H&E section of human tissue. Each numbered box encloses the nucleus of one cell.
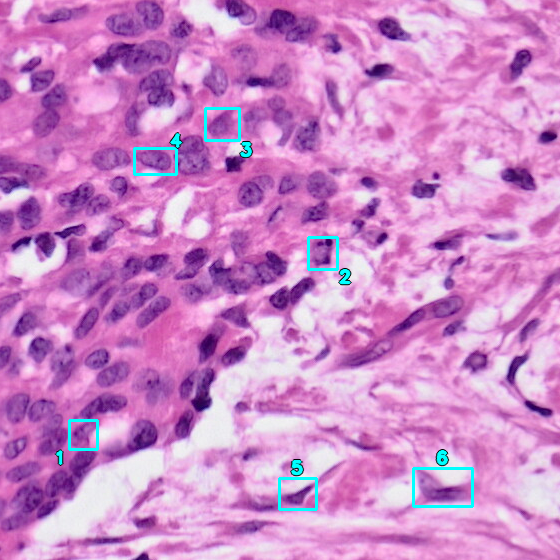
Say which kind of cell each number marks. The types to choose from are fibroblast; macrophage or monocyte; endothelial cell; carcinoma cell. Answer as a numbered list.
1. carcinoma cell
2. macrophage or monocyte
3. carcinoma cell
4. carcinoma cell
5. fibroblast
6. fibroblast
